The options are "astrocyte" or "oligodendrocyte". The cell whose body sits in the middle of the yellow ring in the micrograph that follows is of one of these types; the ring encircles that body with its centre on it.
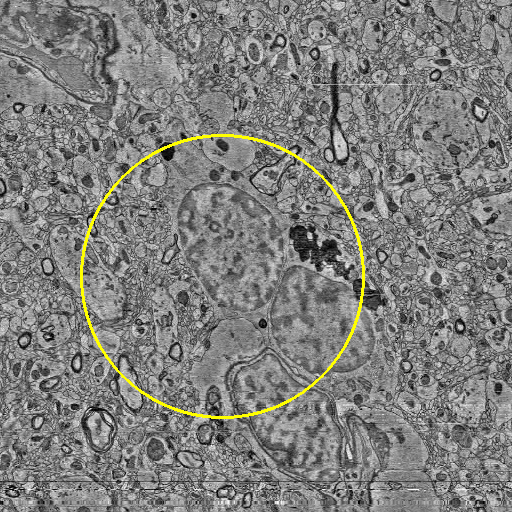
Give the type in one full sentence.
Going by the micrograph, the cell centred in the yellow ring is an oligodendrocyte.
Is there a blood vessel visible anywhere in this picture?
Yes, there is a blood vessel.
